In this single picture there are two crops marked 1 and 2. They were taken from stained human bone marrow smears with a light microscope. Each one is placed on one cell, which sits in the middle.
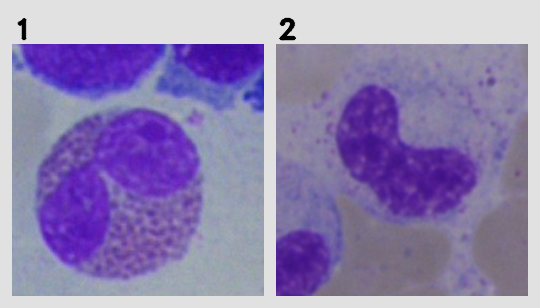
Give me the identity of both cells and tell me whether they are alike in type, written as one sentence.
No, in this case crop 1 shows an eosinophil, and crop 2 shows a band neutrophil.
